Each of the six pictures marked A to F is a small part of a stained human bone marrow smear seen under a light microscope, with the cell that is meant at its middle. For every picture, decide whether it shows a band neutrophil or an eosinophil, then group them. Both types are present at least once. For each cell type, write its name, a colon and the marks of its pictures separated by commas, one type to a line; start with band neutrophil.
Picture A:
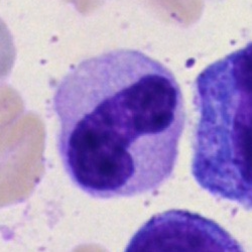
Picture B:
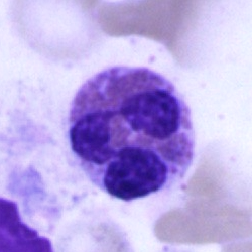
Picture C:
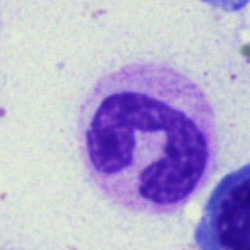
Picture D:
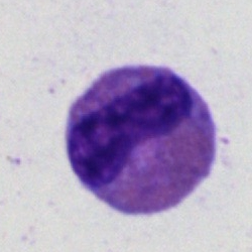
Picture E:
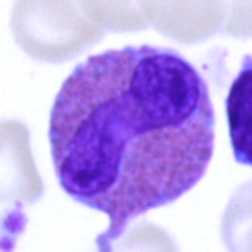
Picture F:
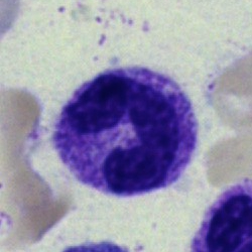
band neutrophil: A, C, F
eosinophil: B, D, E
